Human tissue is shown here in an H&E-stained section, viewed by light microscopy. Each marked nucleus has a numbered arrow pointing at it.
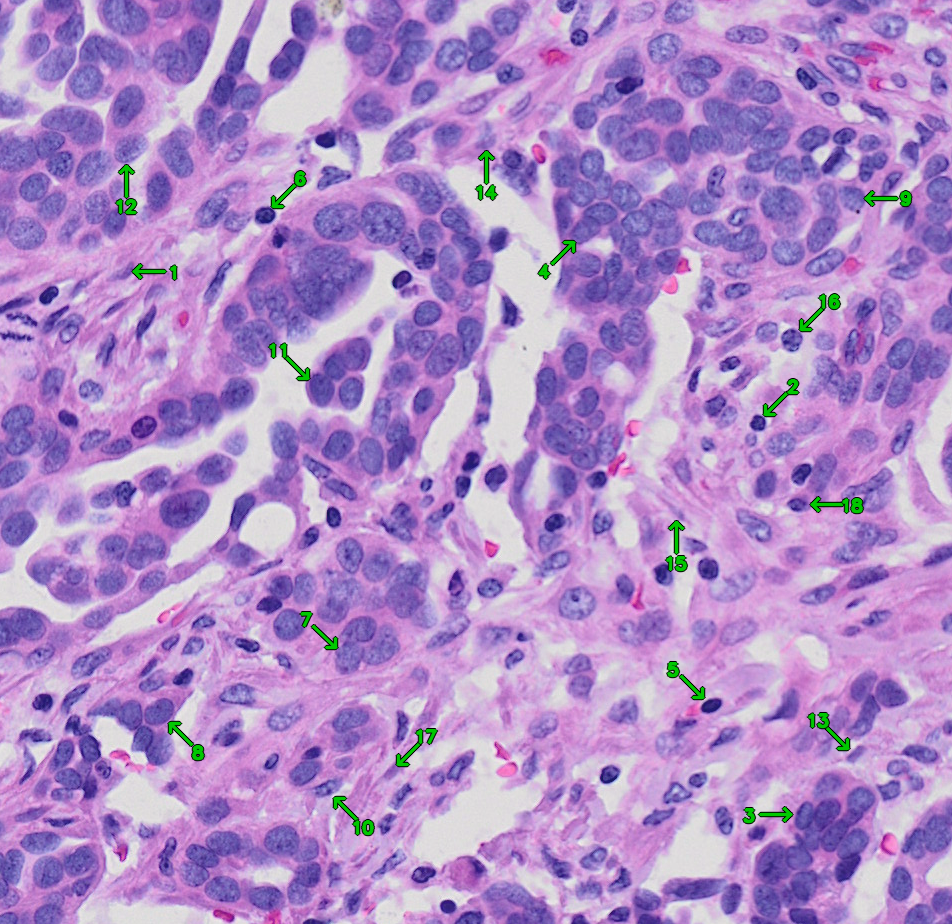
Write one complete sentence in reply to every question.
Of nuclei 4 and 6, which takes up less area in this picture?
With nucleus 4 about 1.5 times its size, nucleus 6 is the smaller of the two.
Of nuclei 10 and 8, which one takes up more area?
The larger nucleus is 8, at roughly 1.5 times the area of 10.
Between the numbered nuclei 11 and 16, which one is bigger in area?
It is nucleus 11, which covers about 1.5 times the area of nucleus 16.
